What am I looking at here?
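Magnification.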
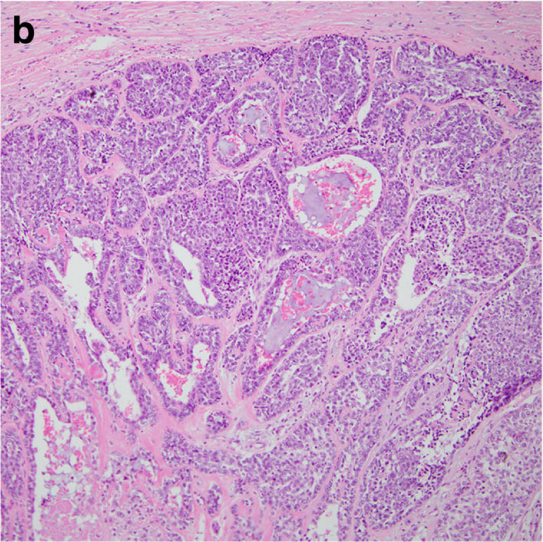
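Solid nests of poorly differentiated tumor cells fill most of the field, bounded at the top by a band of pink fibrous tissue. The cells are crowded, with ovoid dark nuclei and scant cytoplasm. The nests are separated by thin fibrous septa and slit-like spaces.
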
